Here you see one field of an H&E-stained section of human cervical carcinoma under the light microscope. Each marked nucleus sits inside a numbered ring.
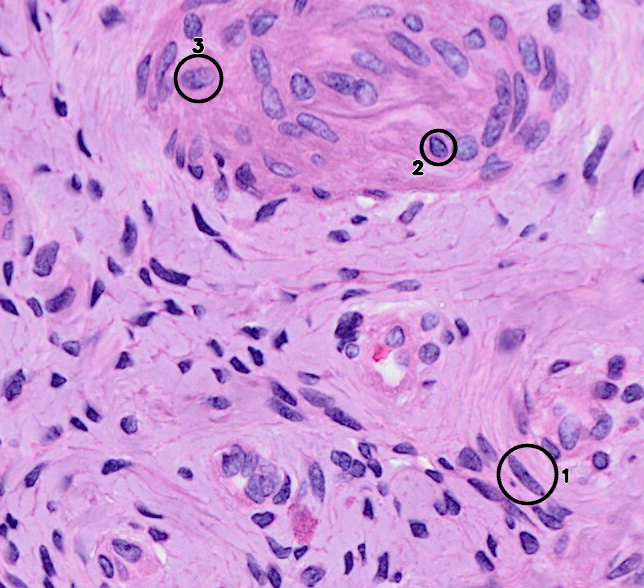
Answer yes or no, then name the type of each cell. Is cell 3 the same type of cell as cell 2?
Yes, in this section cells 3 and 2 are both smooth muscle cells.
